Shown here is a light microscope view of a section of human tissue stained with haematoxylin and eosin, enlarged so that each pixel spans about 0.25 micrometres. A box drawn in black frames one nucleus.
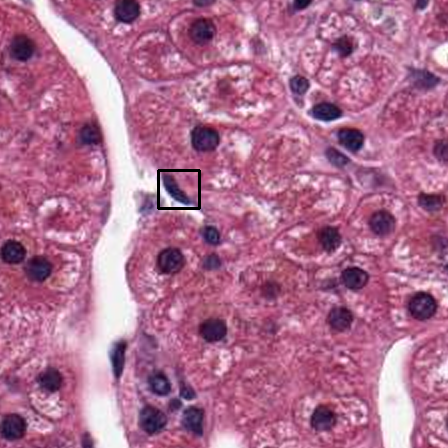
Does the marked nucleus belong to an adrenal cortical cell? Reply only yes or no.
no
